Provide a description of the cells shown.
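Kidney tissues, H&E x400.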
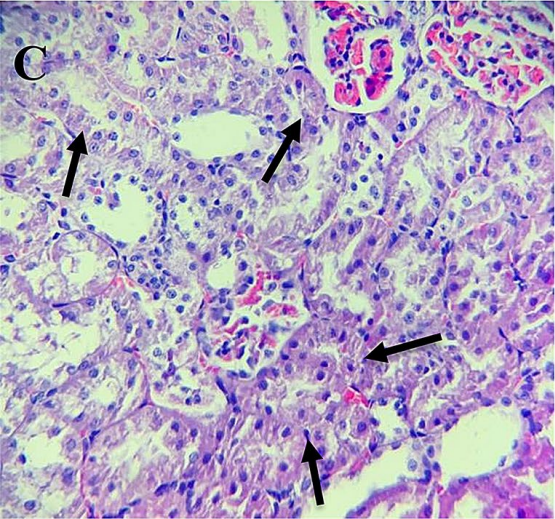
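Renal cortex with crowded tubules whose lining epithelial cells are swollen, with pink granular cytoplasm and round nuclei, narrowing the lumens. Glomeruli with red blood cell–filled capillary tufts lie at the upper right edge, and some tubules show dilated clear lumens.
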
